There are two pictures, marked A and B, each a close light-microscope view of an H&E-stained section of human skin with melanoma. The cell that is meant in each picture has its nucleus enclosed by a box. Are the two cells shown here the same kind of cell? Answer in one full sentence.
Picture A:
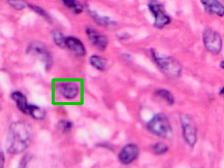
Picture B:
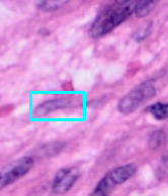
No, picture A shows a “macrophage or monocyte” and picture B shows a “fibroblast or myofibroblast”.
